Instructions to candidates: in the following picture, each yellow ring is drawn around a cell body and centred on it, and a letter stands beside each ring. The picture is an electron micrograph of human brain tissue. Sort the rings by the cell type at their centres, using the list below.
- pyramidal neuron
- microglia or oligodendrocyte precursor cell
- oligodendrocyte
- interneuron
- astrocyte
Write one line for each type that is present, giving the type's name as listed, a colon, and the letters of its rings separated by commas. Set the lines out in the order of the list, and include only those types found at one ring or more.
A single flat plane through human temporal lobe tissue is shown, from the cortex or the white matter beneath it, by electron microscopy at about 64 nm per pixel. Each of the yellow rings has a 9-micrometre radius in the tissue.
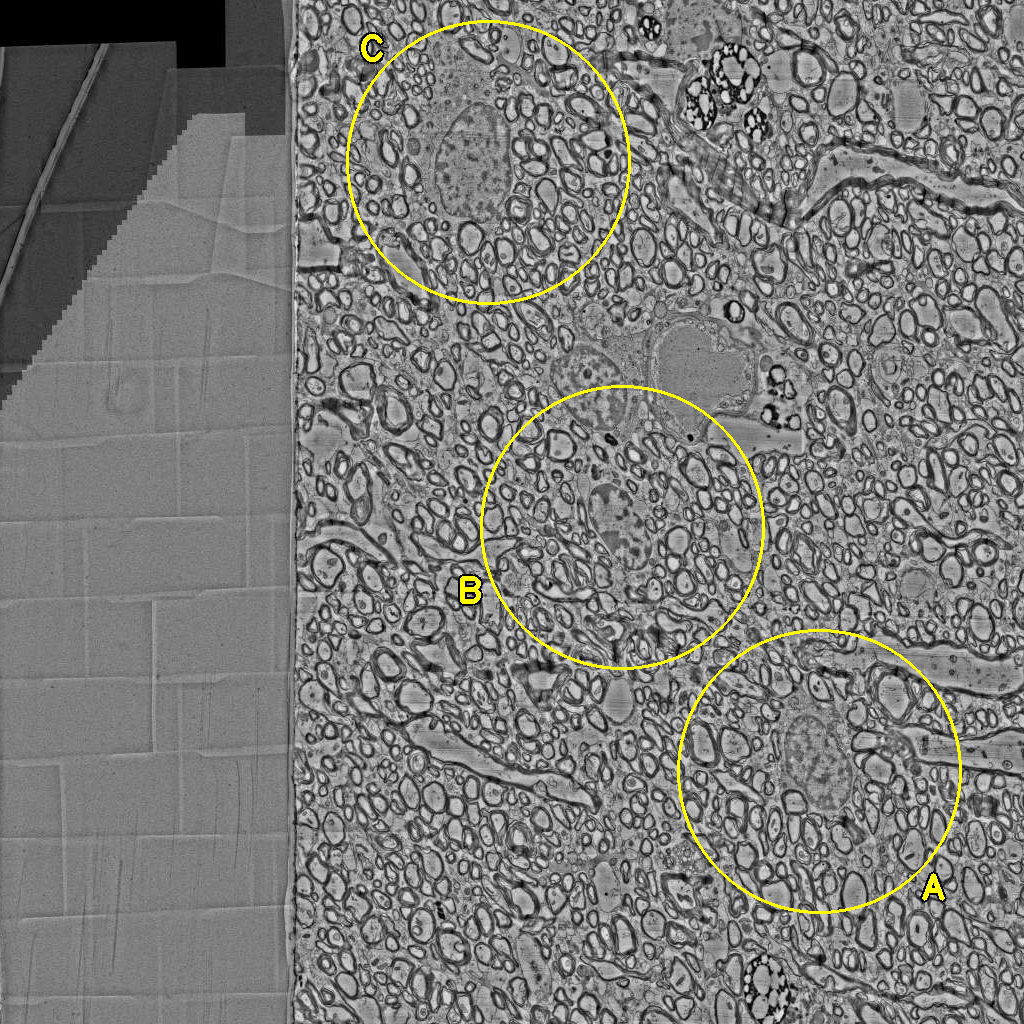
microglia or oligodendrocyte precursor cell: B
oligodendrocyte: A, C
